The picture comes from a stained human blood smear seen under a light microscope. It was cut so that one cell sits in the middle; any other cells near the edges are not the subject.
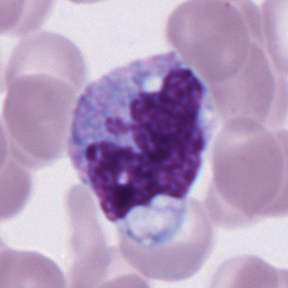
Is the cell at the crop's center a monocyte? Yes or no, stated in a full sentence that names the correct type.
Yes, shown in the middle of the crop is a monocyte.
